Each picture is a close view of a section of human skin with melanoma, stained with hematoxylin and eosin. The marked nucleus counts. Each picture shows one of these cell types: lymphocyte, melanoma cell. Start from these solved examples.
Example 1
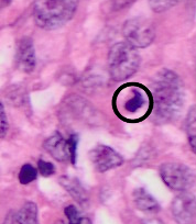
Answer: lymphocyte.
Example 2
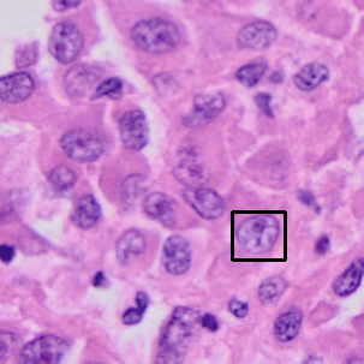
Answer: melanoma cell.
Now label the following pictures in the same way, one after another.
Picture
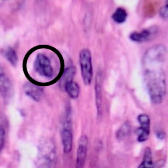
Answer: lymphocyte.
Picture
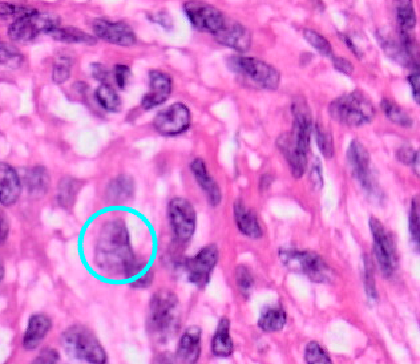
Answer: melanoma cell.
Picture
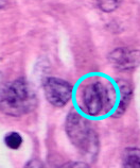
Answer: melanoma cell.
